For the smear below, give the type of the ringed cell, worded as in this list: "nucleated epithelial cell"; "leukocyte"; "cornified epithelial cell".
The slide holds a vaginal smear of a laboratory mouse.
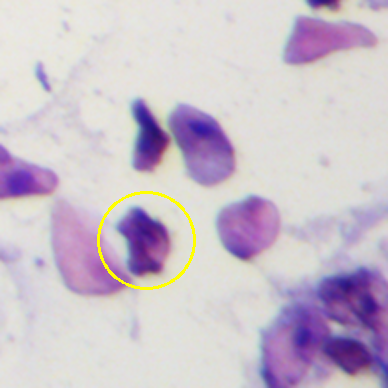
cornified epithelial cell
